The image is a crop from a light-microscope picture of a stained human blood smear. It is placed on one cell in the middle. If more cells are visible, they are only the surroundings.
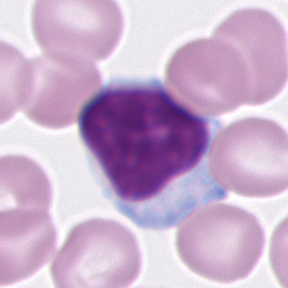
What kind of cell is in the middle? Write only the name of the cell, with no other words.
typical lymphocyte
